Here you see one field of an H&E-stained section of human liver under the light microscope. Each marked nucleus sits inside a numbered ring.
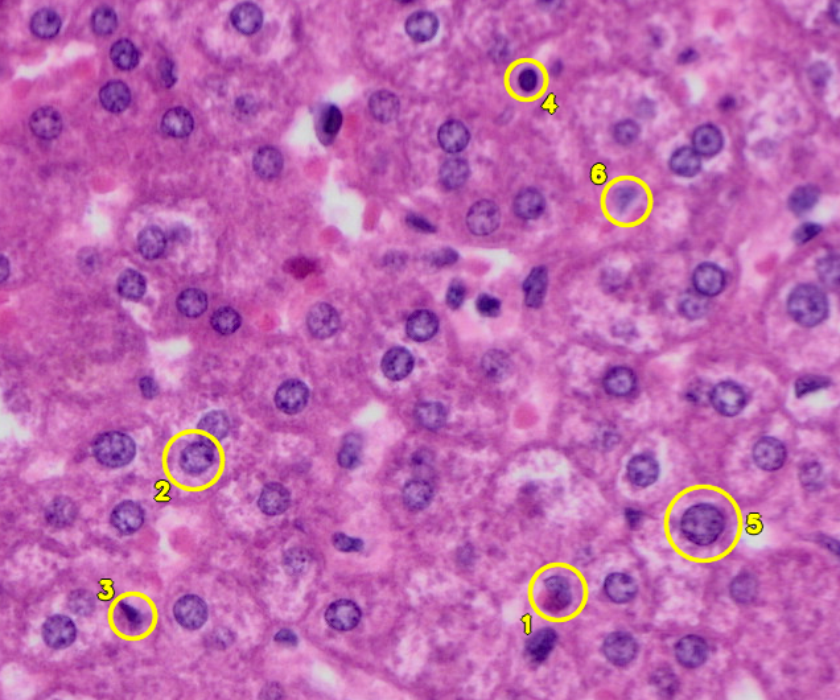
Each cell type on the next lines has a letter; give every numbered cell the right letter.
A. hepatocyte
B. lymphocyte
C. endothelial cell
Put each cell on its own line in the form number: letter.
1: C
2: A
3: C
4: B
5: A
6: C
